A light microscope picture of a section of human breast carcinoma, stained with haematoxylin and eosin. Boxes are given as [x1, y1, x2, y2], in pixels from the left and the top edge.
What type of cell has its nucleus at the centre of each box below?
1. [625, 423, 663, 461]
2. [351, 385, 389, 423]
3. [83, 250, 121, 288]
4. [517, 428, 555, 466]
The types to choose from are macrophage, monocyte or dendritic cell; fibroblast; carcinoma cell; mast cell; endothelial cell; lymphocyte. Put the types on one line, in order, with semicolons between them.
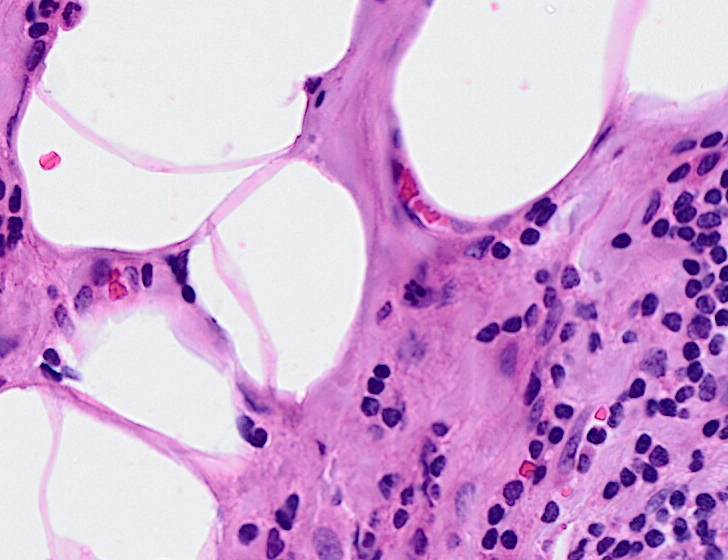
lymphocyte; lymphocyte; endothelial cell; lymphocyte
